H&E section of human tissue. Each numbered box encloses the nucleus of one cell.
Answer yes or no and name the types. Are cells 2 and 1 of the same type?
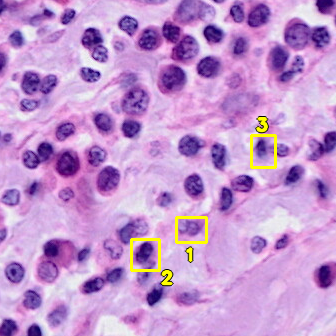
No, cell 2 is a lymphocyte, whereas a macrophage or monocyte is what cell 1 is.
